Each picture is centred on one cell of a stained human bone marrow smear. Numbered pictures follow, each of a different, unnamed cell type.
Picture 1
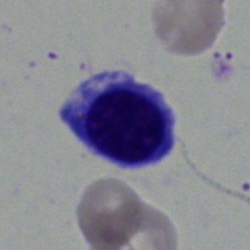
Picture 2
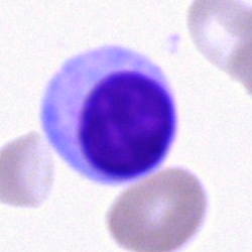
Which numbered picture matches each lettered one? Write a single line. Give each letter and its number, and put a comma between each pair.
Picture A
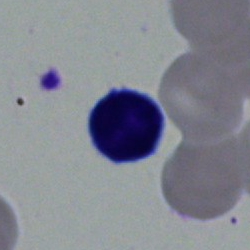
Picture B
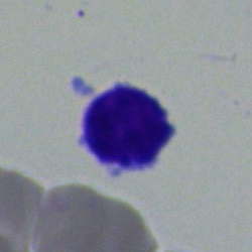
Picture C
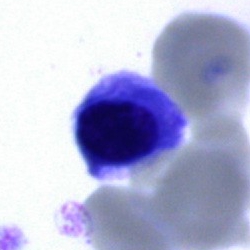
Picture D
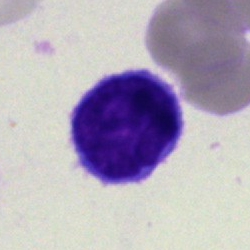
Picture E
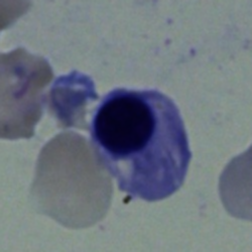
A 2, B 2, C 1, D 2, E 1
